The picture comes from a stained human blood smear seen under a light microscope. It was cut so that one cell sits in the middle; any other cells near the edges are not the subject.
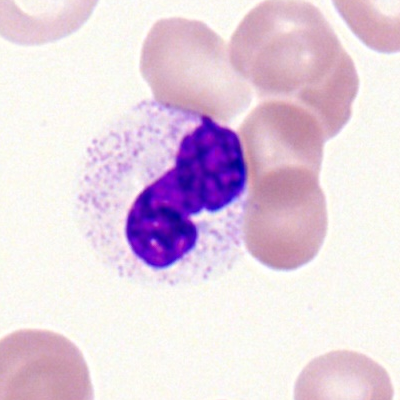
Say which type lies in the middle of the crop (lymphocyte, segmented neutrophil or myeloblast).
segmented neutrophil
